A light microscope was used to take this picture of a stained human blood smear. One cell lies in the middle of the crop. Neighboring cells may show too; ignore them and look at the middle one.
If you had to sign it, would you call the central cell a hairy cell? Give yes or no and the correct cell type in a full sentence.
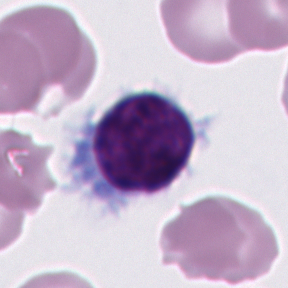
Yes, in the middle of the crop is a hairy cell.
